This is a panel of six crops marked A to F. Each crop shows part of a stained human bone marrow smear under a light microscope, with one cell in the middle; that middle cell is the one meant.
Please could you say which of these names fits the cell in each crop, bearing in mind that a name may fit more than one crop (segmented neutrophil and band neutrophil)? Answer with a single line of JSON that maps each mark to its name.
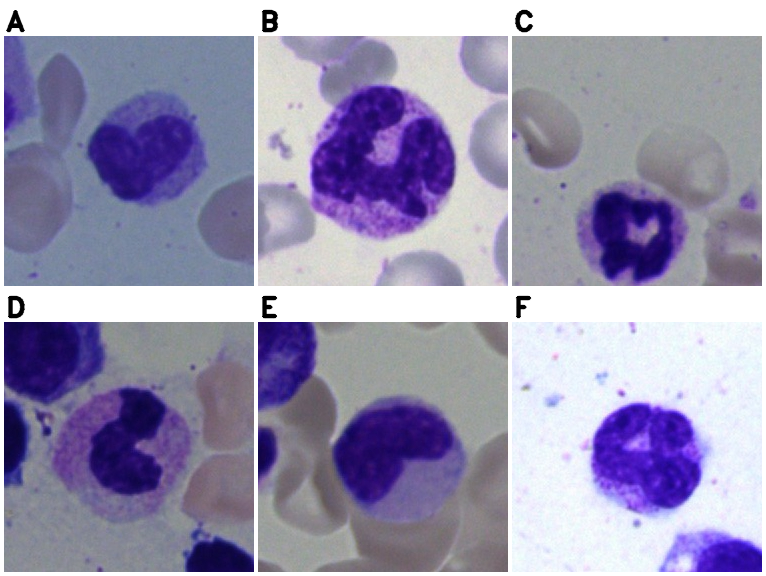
{"A": "band neutrophil", "B": "segmented neutrophil", "C": "segmented neutrophil", "D": "band neutrophil", "E": "band neutrophil", "F": "segmented neutrophil"}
